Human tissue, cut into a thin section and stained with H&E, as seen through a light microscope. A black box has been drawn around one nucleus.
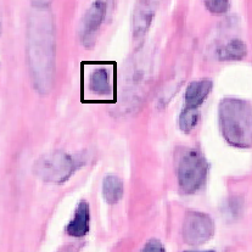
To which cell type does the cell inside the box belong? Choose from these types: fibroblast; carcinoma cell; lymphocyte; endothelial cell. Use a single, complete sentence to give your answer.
As far as its identity is concerned, the cell inside the box is a lymphocyte.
